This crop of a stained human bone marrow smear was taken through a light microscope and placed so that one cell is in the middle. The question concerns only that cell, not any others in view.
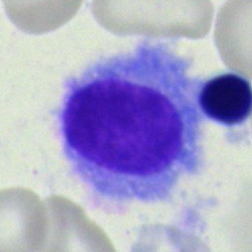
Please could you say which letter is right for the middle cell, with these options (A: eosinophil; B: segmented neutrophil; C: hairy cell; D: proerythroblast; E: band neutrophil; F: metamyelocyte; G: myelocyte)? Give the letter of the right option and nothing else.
C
